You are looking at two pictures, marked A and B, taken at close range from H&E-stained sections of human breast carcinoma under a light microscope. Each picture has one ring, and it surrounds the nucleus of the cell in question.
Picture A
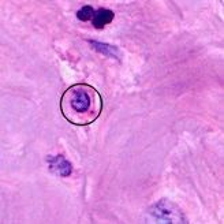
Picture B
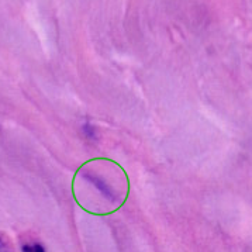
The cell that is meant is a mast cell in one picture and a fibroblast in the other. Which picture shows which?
A: mast cell
B: fibroblast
